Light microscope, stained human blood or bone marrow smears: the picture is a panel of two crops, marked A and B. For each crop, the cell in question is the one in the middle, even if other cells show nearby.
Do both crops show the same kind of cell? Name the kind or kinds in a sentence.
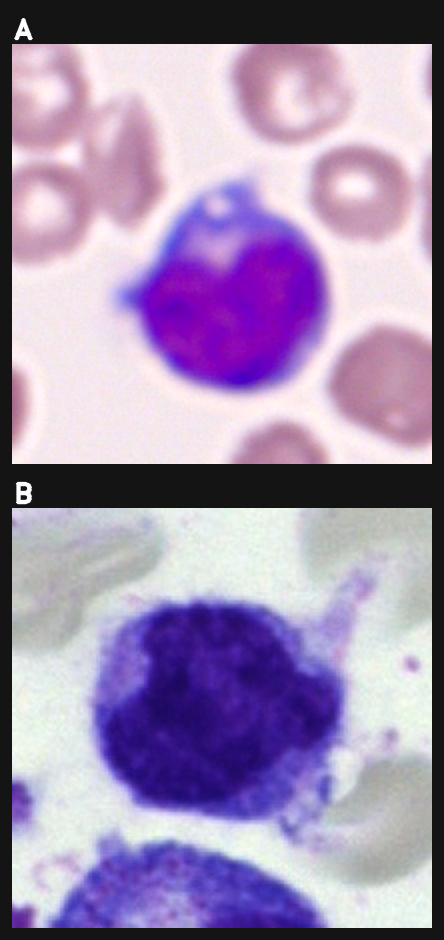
Yes, the two crops share the same answer, monocytes.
